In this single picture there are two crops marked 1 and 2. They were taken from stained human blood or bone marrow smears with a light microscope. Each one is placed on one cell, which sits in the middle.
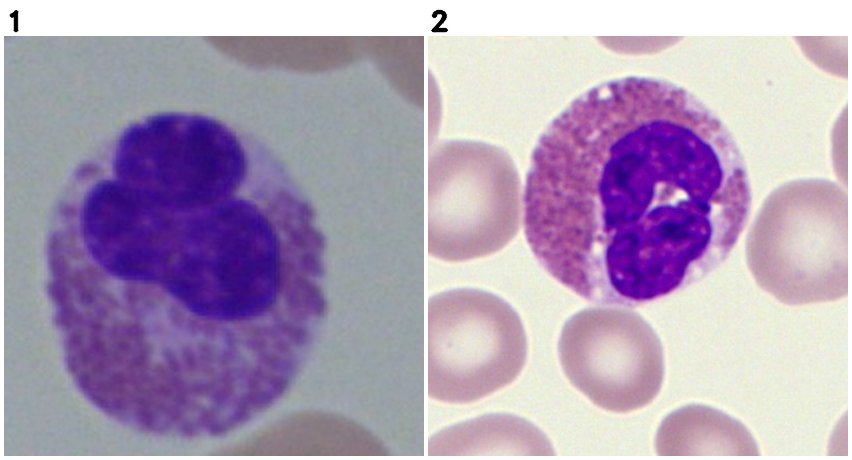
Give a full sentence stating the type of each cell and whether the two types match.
Yes, both crops show eosinophils, and that holds for each one.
